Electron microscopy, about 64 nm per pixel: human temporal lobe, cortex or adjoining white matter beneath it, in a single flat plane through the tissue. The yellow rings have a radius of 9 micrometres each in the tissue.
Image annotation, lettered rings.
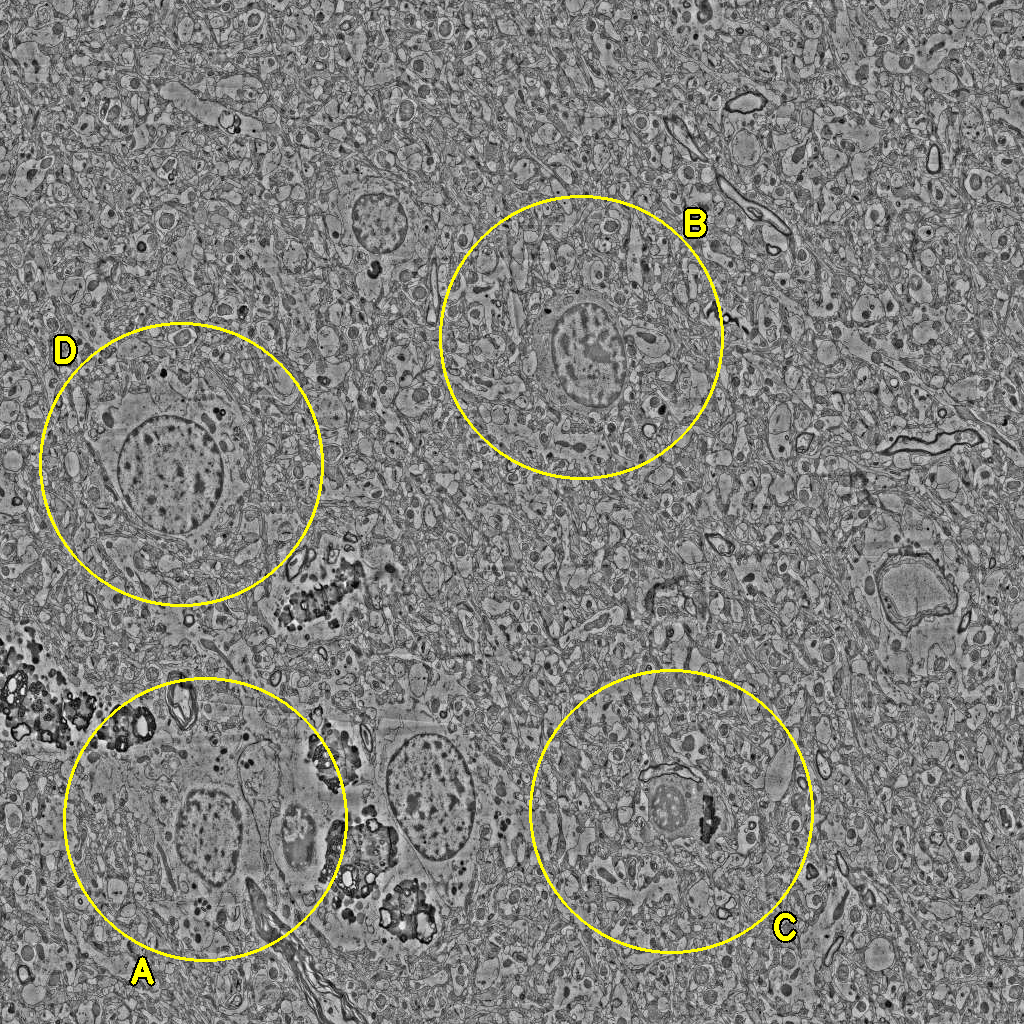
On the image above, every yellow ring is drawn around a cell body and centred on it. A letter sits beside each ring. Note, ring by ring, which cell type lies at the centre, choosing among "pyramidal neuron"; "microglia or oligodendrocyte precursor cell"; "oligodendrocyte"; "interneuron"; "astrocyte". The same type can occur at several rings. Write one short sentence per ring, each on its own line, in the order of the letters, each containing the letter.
Ring A has an astrocyte at its centre.
Ring B has an oligodendrocyte at its centre.
Ring C has an oligodendrocyte at its centre.
Ring D has an astrocyte at its centre.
